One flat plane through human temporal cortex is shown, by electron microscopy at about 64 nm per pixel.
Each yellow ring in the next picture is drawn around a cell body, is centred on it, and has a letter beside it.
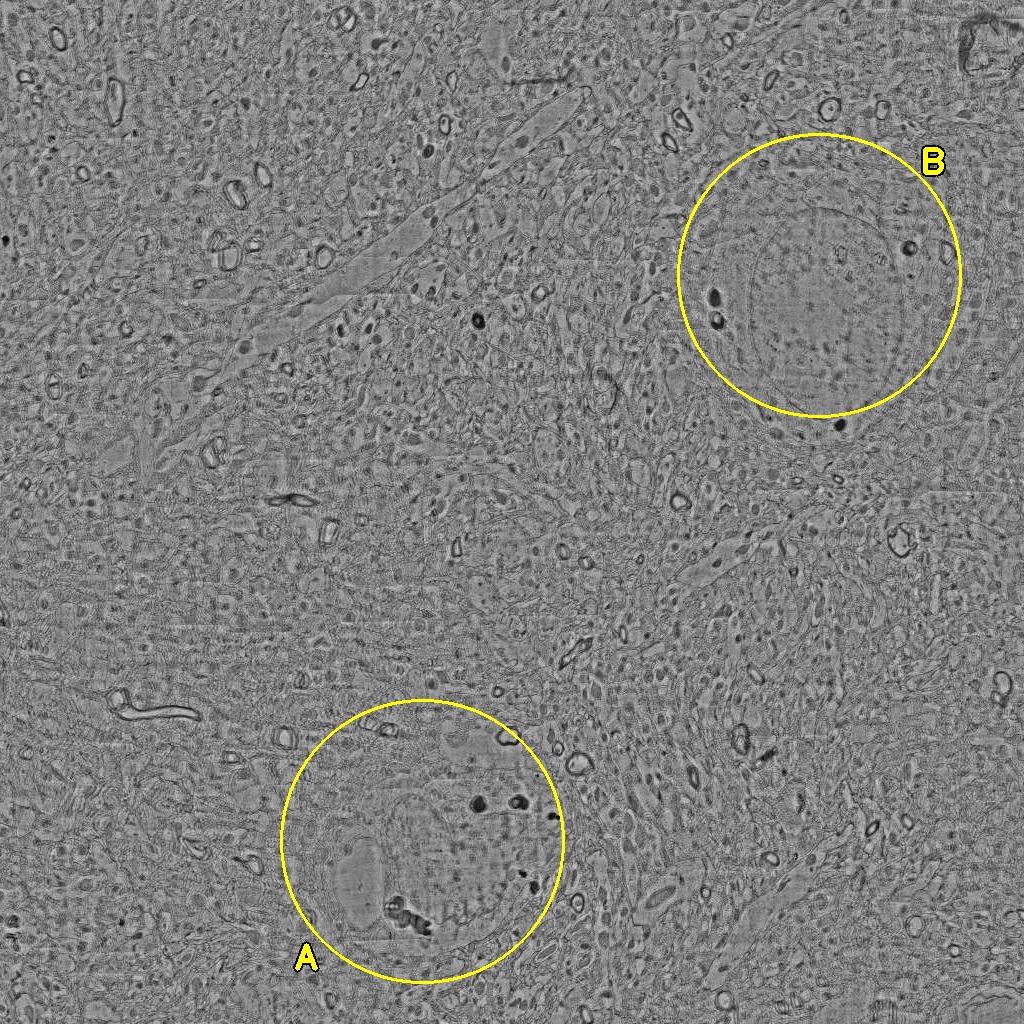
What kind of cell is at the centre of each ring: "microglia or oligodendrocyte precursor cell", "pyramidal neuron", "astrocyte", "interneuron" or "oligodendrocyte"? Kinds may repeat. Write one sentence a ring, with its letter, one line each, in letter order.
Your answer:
The centre of ring A falls on an interneuron.
The centre of ring B falls on a pyramidal neuron.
